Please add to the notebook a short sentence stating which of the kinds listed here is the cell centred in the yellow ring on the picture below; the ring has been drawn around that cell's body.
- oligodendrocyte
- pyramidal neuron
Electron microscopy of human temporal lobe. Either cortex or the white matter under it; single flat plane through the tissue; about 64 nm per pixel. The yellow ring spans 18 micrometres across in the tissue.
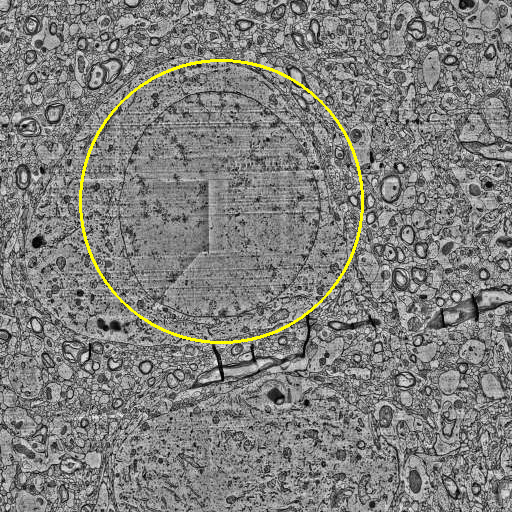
The cell centred in the yellow ring is a pyramidal neuron.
